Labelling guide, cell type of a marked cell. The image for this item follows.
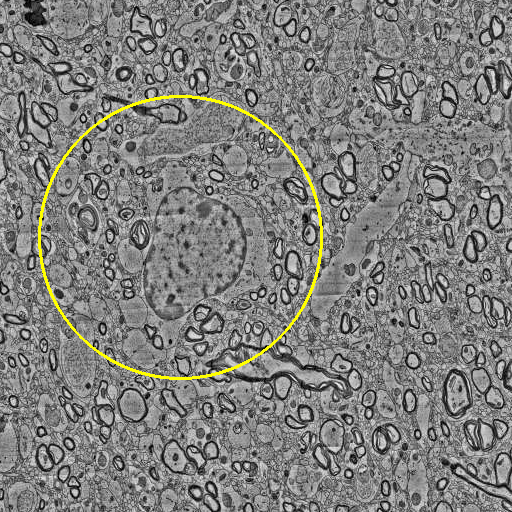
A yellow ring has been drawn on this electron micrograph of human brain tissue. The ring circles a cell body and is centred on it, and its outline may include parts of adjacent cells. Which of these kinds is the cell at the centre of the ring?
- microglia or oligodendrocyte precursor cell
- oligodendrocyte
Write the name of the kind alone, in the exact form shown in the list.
microglia or oligodendrocyte precursor cell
